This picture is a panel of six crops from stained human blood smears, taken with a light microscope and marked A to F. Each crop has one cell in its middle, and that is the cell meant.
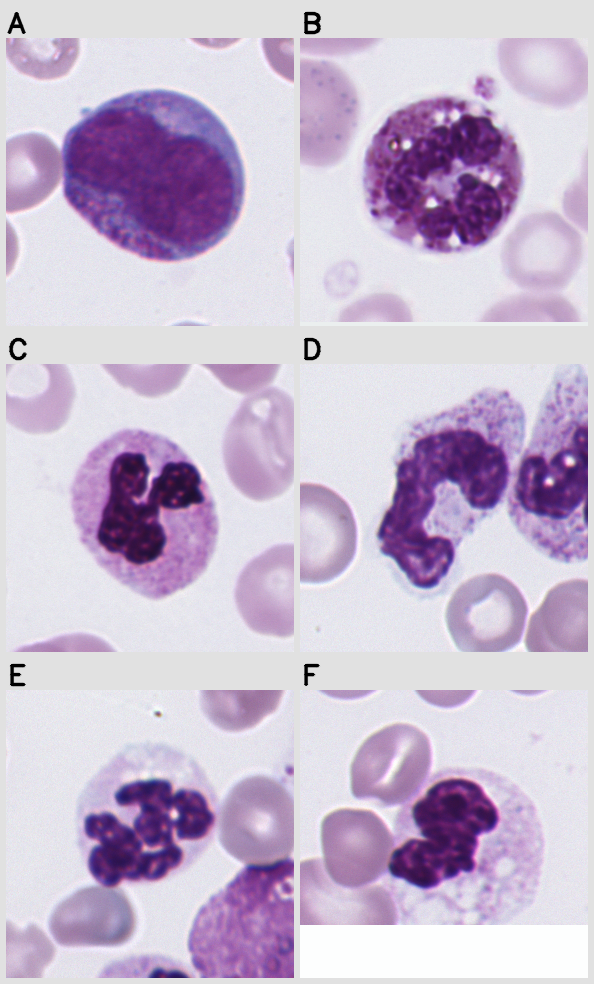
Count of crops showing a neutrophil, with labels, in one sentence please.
Of the crops, those showing neutrophils are C, D, E and F, four altogether.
